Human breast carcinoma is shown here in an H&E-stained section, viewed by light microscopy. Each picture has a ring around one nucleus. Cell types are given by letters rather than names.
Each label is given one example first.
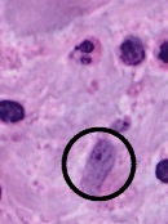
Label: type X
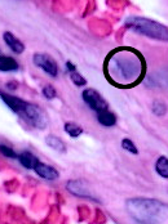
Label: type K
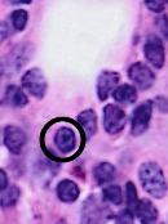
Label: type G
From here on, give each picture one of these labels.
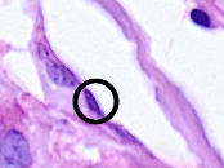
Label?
type X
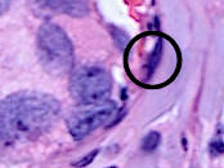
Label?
type K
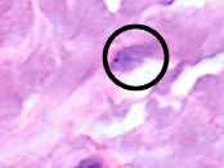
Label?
type X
